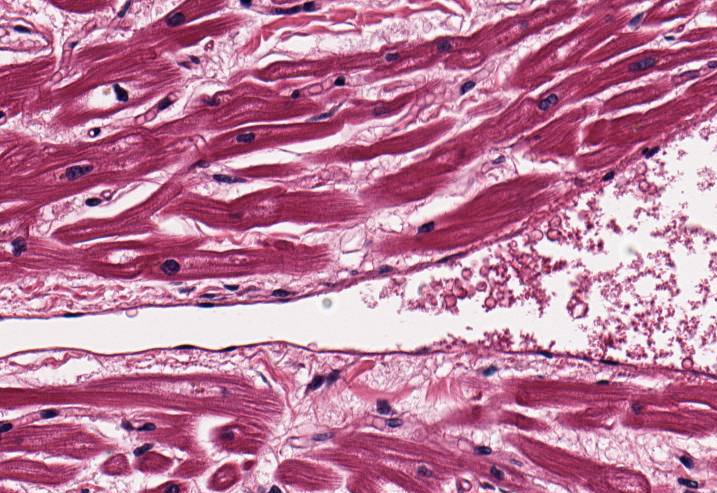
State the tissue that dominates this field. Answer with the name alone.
myocardium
